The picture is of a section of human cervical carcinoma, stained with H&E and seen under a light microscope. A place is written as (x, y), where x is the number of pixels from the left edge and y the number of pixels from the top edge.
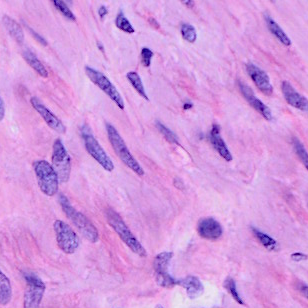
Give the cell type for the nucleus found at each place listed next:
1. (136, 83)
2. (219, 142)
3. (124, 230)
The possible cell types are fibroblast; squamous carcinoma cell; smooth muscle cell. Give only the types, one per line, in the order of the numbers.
fibroblast
fibroblast
smooth muscle cell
